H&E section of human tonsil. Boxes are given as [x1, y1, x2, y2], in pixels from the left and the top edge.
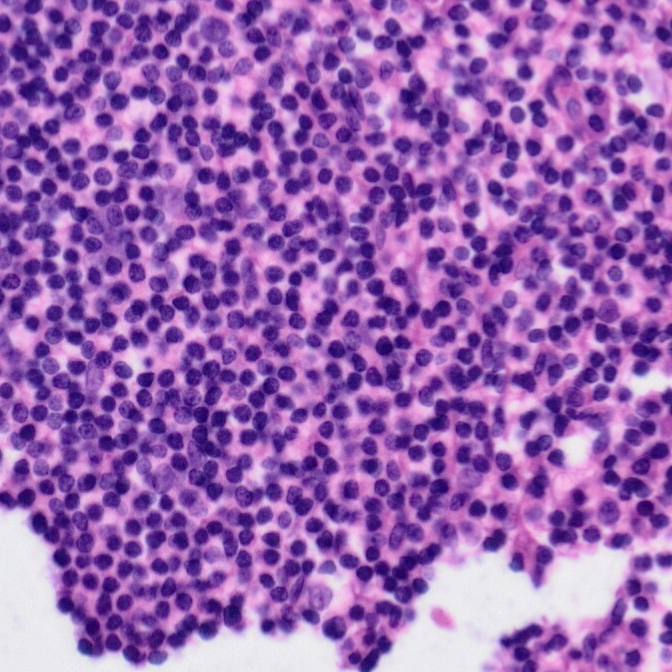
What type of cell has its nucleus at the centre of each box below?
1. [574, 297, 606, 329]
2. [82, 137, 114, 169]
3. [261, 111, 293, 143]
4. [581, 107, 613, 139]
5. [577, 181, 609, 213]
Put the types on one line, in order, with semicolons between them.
small lymphocyte; small lymphocyte; small lymphocyte; plasma cell; plasma cell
